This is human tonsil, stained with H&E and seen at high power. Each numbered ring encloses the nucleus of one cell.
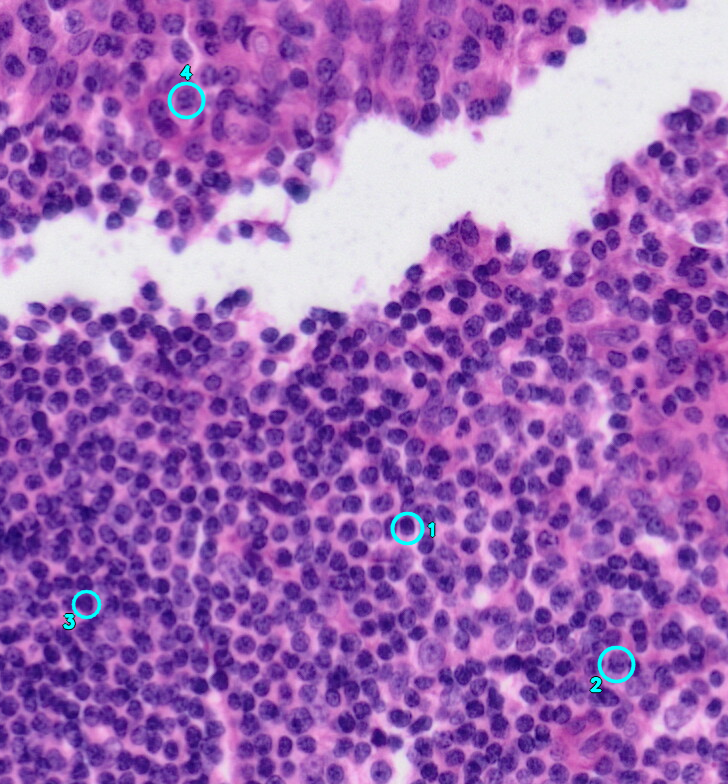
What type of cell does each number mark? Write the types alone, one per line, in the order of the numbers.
small lymphocyte
small lymphocyte
small lymphocyte
plasma cell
